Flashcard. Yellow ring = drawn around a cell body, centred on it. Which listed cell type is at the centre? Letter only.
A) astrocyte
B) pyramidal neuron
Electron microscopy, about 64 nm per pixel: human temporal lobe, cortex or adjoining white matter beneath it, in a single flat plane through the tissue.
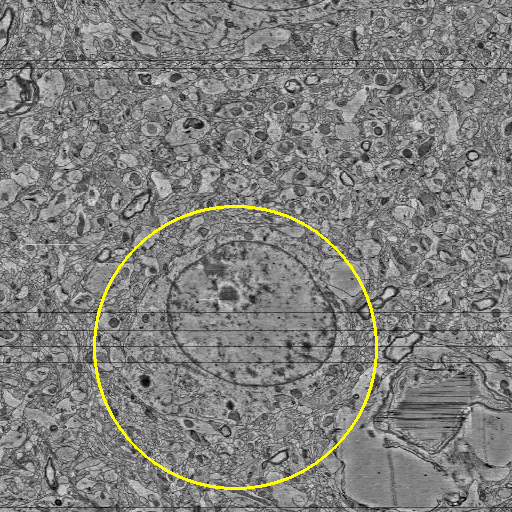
B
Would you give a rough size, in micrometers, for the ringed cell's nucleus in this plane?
In this plane, about 11 micrometres in length and 9 in width.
